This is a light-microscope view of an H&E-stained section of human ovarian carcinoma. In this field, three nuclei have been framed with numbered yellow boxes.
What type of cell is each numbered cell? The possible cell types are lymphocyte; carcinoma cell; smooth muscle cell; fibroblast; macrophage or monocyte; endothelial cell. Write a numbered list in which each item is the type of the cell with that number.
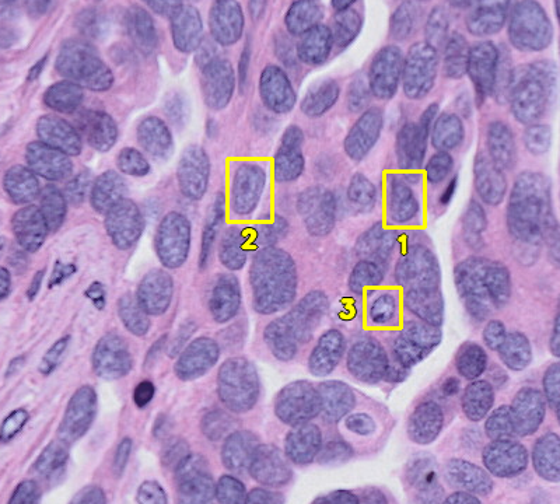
1. carcinoma cell
2. carcinoma cell
3. macrophage or monocyte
